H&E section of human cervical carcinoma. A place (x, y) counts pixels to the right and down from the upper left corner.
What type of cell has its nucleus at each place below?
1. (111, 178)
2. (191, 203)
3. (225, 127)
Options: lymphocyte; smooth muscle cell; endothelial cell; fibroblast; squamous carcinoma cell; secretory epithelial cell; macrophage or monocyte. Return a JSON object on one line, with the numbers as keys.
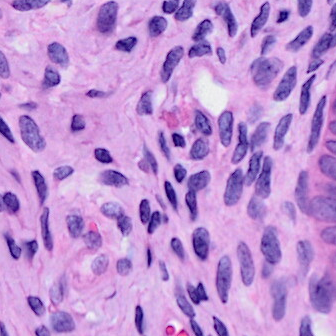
{"1": "fibroblast", "2": "fibroblast", "3": "endothelial cell"}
